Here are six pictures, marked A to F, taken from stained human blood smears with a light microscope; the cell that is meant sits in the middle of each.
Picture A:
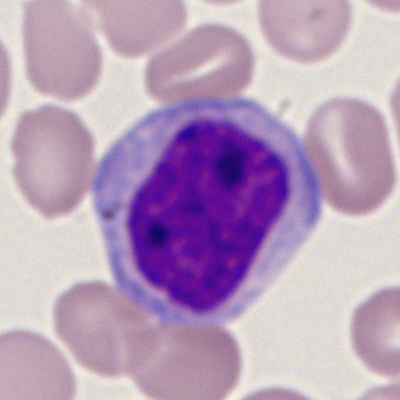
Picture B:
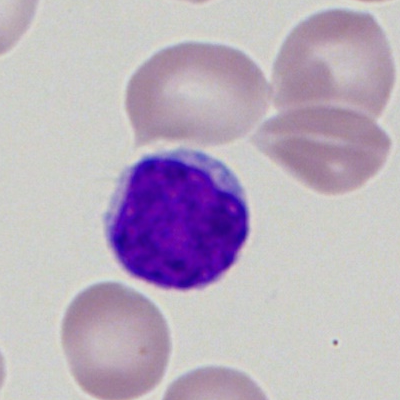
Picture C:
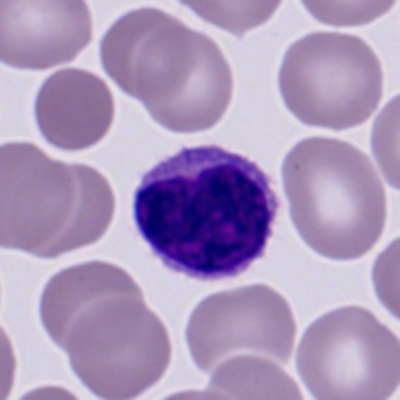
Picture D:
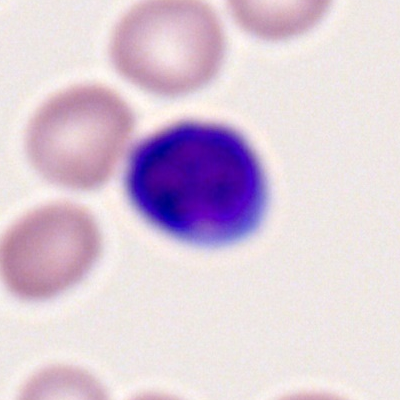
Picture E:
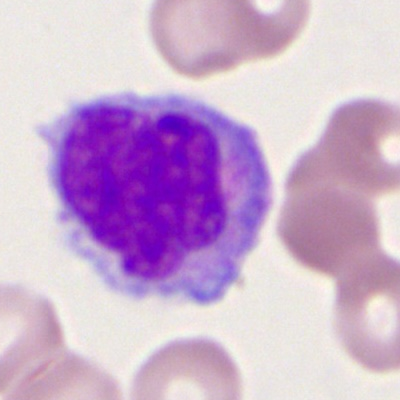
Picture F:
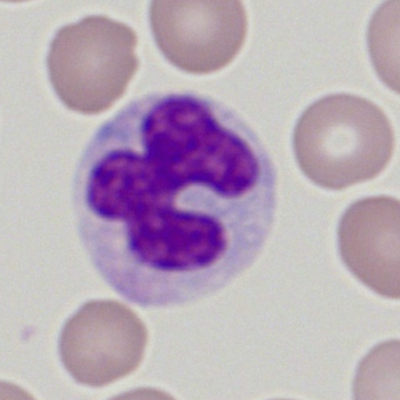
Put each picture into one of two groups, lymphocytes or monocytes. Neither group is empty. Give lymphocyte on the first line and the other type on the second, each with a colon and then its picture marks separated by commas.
lymphocyte: B, C, D
monocyte: A, E, F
